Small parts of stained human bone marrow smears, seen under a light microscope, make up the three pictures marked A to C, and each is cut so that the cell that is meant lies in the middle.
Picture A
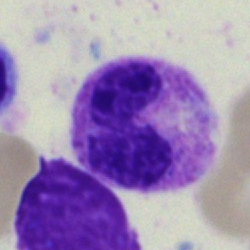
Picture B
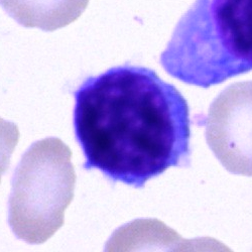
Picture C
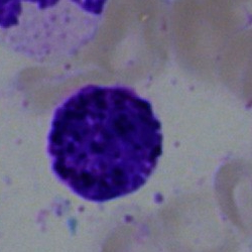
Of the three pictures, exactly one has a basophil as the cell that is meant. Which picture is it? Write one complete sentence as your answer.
It is picture C that shows the basophil.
